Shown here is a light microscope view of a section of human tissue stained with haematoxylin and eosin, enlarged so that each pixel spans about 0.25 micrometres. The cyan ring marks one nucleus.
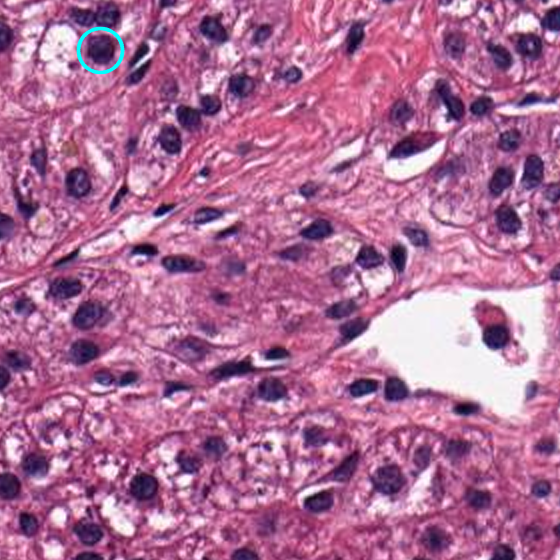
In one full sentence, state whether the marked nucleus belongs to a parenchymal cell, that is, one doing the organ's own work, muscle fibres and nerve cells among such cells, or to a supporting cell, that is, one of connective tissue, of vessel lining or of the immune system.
The cell whose nucleus is marked is a parenchymal cell, namely an adrenal cortical cell.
